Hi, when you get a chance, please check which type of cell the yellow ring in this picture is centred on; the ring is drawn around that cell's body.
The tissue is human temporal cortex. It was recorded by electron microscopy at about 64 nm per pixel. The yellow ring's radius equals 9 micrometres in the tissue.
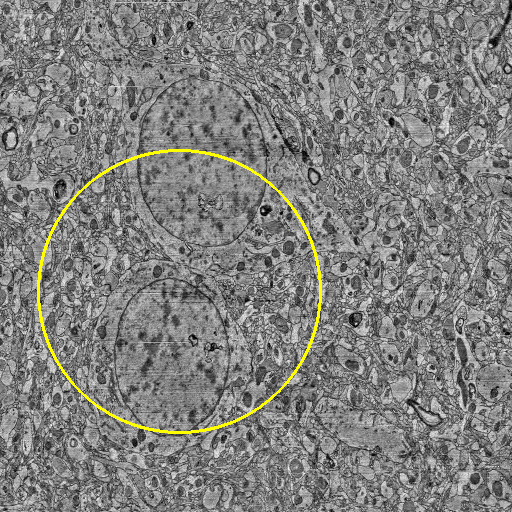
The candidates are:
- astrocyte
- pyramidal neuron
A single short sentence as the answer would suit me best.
The ring is drawn around the body of a pyramidal neuron.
